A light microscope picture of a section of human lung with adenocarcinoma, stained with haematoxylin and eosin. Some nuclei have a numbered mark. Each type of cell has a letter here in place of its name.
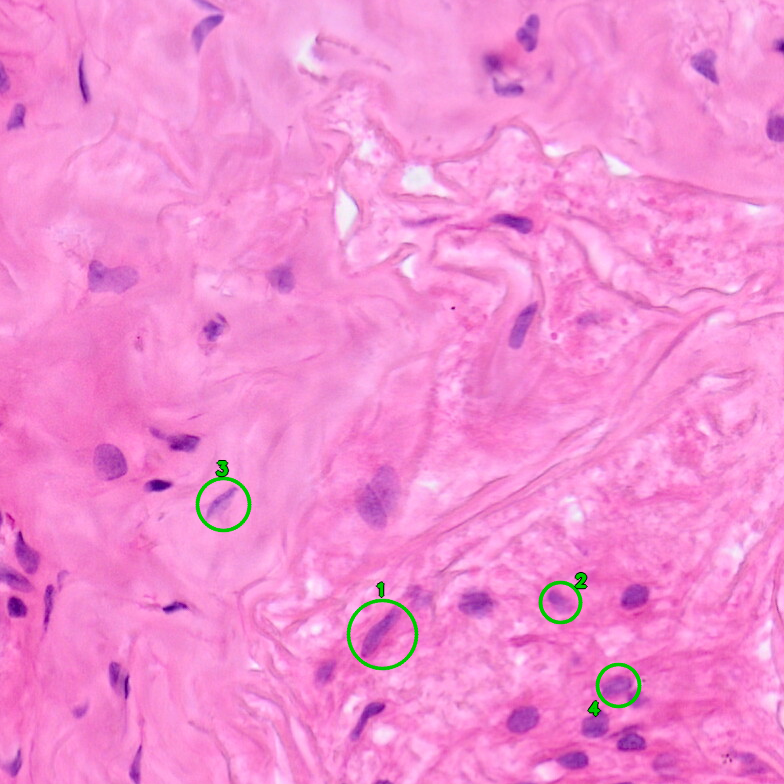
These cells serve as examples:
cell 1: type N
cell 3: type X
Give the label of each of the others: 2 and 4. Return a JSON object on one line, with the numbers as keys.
{"2": "type N", "4": "type N"}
